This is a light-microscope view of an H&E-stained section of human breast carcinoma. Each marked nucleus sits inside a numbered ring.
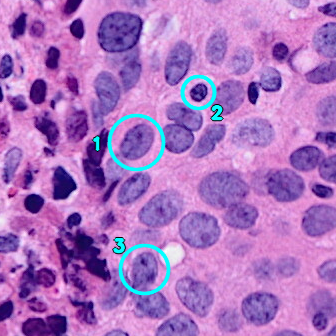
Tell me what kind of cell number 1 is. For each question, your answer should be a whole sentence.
The correct answer for cell 1 is a carcinoma cell.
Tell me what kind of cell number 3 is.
The cell given label 3 is a carcinoma cell.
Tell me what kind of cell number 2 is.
Belonging to a lymphocyte is the nucleus that carries the number 2.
